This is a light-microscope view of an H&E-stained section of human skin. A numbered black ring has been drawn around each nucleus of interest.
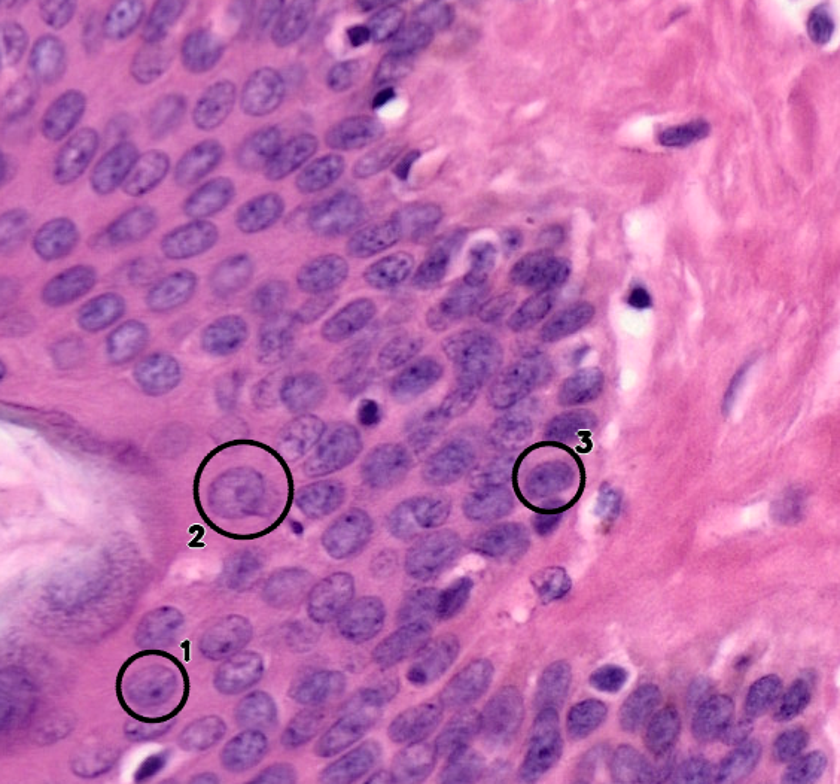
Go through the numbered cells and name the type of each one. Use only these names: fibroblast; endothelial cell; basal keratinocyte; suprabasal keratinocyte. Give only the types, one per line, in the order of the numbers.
suprabasal keratinocyte
suprabasal keratinocyte
basal keratinocyte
